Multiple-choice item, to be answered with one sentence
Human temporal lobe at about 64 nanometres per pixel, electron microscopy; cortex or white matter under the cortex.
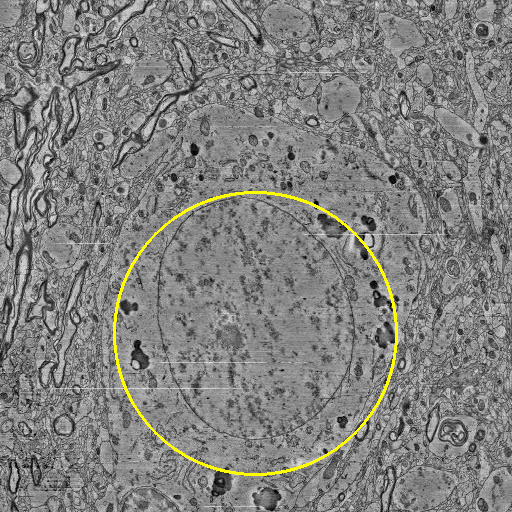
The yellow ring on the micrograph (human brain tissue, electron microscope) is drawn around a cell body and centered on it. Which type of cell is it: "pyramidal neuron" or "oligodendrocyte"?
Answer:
The ring is centered on a pyramidal neuron.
